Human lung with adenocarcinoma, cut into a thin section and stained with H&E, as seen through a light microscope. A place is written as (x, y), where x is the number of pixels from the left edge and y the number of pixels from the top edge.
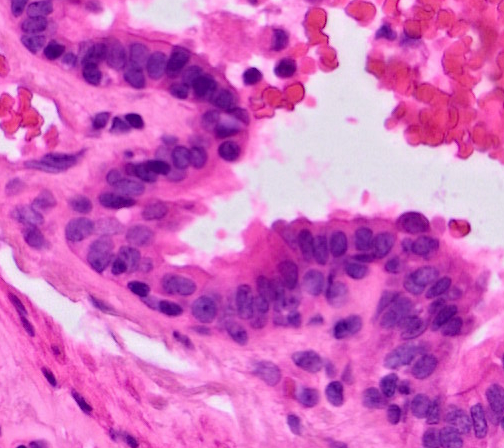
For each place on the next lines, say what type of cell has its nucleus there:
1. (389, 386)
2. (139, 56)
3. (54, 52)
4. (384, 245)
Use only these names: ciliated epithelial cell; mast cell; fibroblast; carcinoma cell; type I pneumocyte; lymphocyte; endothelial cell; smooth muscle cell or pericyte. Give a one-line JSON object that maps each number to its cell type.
{"1": "lymphocyte", "2": "ciliated epithelial cell", "3": "ciliated epithelial cell", "4": "ciliated epithelial cell"}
